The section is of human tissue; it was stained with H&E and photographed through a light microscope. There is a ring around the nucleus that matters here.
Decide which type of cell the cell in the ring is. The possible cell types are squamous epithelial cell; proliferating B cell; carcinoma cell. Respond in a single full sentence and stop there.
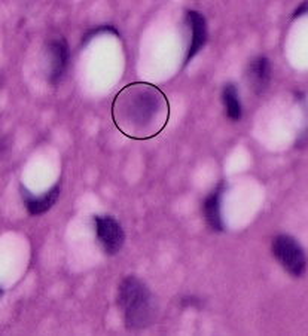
In cell-type terms, the cell in the ring is a squamous epithelial cell.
